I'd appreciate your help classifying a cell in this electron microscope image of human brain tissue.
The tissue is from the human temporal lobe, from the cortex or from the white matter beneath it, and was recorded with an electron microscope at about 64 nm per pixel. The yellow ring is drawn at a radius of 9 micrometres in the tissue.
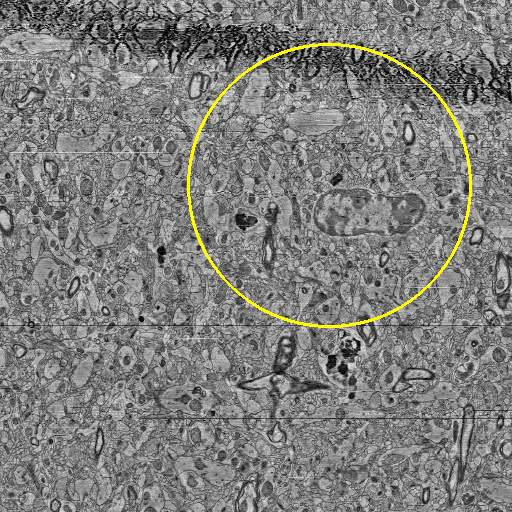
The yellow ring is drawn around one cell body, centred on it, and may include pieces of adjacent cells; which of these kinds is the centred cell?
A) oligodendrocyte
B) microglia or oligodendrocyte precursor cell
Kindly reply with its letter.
B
